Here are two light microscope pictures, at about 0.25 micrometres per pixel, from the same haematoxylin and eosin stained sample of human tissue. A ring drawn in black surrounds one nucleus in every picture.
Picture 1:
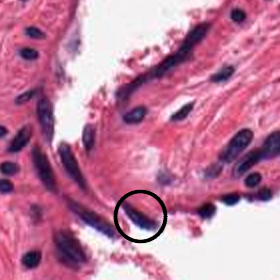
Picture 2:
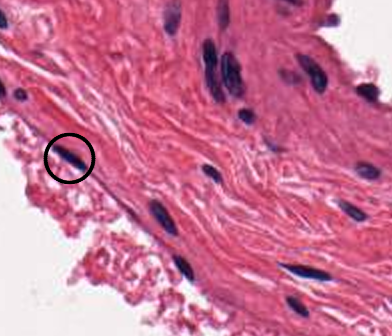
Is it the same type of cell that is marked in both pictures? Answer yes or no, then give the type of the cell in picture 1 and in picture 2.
Yes, both are endothelial cells.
